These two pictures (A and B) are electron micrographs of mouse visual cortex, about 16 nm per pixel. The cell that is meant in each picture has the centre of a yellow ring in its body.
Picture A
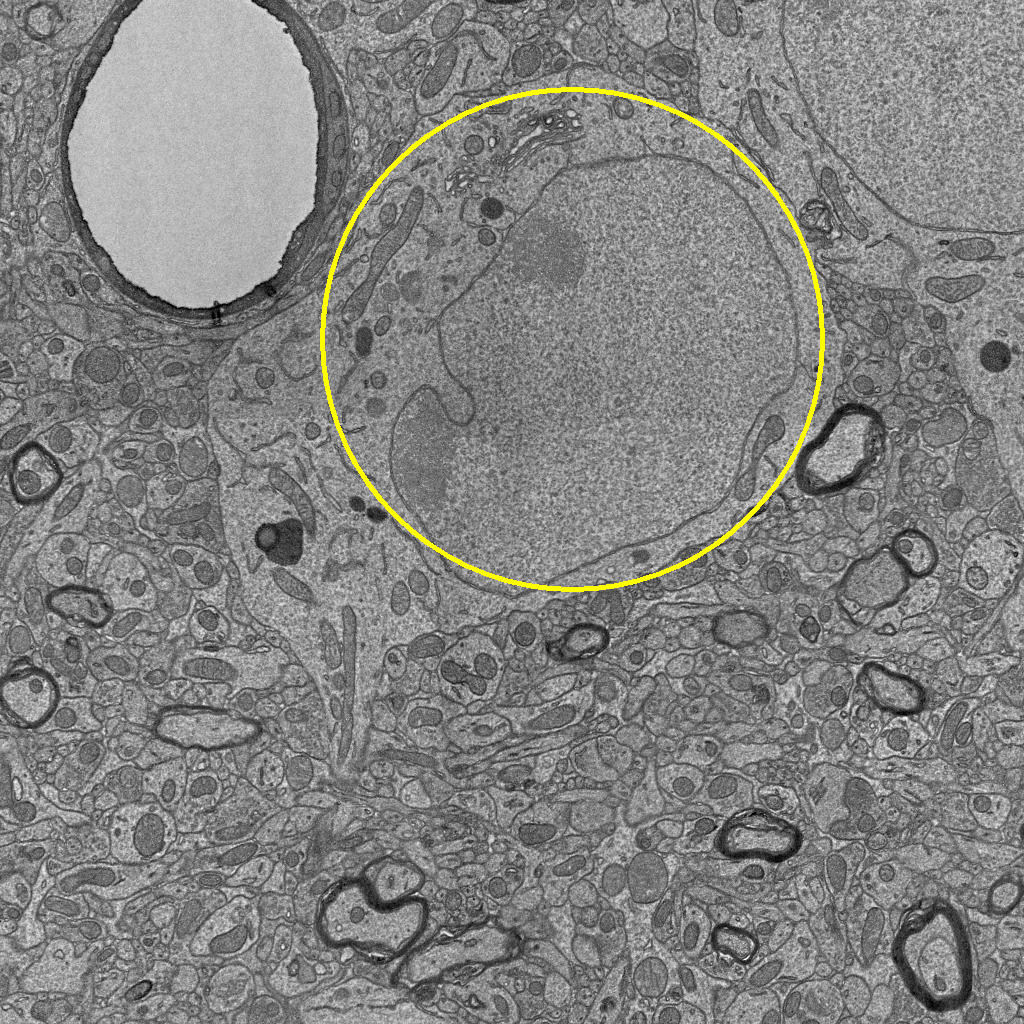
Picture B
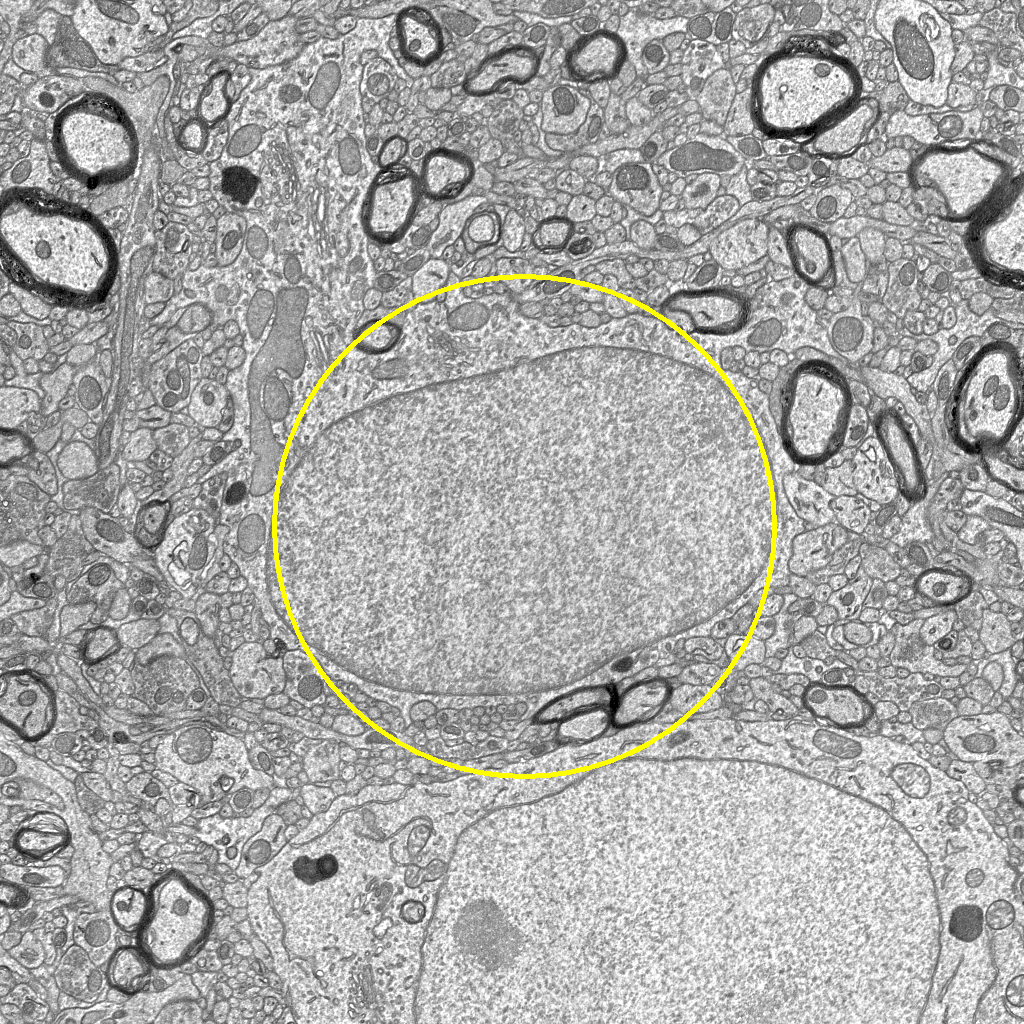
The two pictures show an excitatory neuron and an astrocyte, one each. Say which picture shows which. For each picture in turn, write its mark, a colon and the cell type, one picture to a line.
A: excitatory neuron
B: astrocyte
